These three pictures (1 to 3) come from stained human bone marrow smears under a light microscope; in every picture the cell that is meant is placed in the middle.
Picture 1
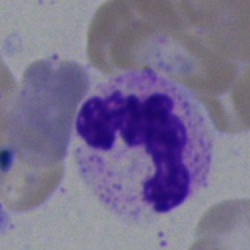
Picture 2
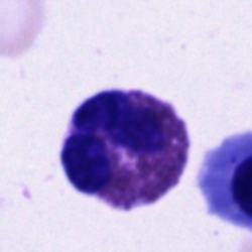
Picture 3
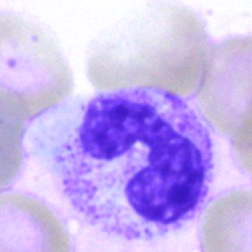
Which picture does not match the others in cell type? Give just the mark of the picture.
2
